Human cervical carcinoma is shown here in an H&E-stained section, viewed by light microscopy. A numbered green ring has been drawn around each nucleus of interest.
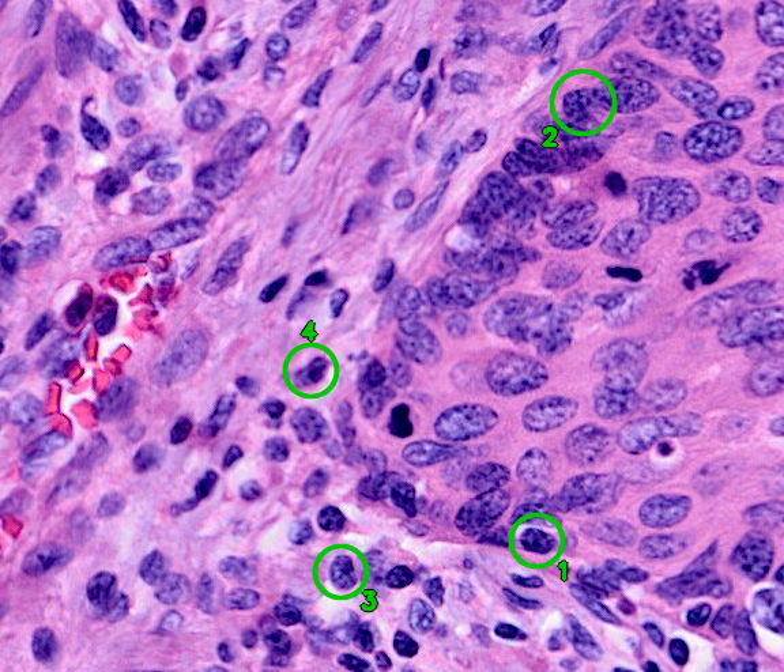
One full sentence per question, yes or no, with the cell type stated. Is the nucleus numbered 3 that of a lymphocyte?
Yes, the cell at number 3 is a lymphocyte.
